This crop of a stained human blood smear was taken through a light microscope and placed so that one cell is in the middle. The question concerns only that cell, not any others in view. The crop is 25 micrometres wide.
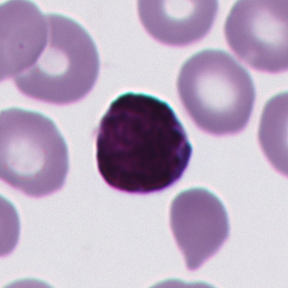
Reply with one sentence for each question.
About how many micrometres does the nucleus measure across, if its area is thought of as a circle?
The nucleus is about 8 micrometres across.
